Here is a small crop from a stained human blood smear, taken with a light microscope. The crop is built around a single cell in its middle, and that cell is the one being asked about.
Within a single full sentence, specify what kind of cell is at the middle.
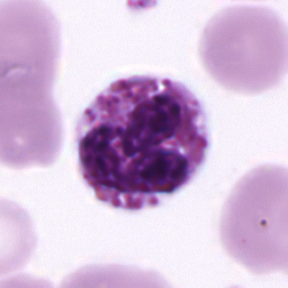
The center cell of this crop is an eosinophil.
